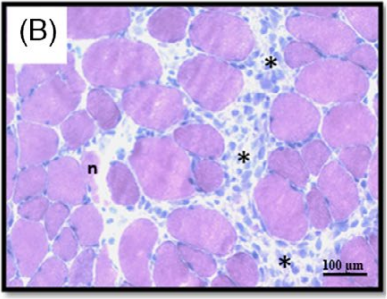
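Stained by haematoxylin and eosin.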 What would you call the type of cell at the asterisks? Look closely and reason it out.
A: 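Immune cells. Small round nuclei cluster in the widened spaces between muscle fibres.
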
